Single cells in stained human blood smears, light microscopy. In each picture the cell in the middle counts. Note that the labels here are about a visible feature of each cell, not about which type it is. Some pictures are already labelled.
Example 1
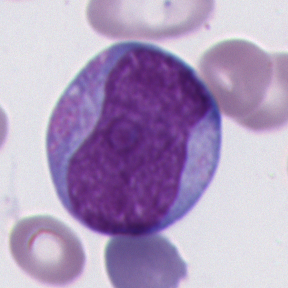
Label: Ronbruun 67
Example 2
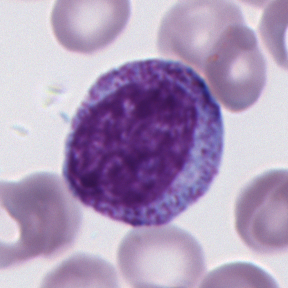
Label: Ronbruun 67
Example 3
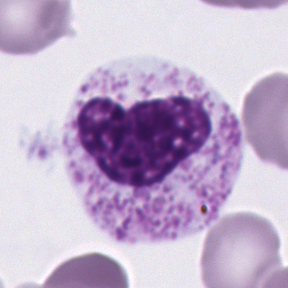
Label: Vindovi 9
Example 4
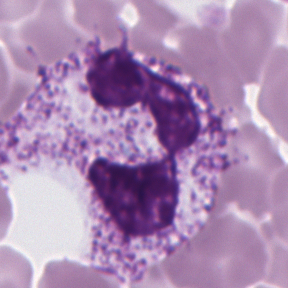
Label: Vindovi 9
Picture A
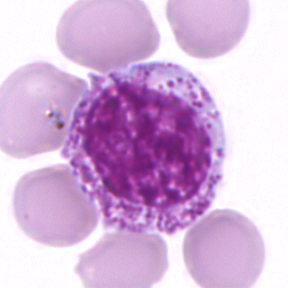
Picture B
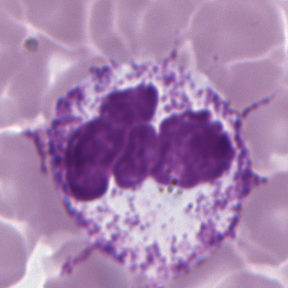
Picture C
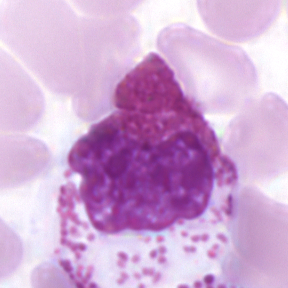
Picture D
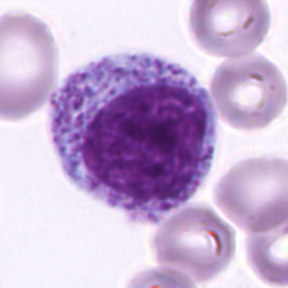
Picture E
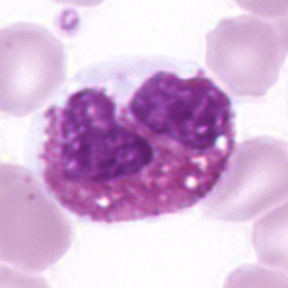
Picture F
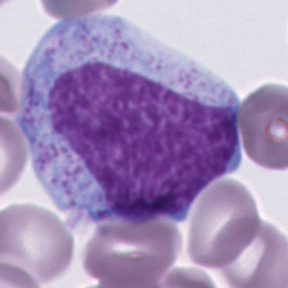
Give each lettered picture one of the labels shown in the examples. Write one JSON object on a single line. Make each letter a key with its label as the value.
{"A": "Vindovi 9", "B": "Vindovi 9", "C": "Ronbruun 67", "D": "Vindovi 9", "E": "Vindovi 9", "F": "Ronbruun 67"}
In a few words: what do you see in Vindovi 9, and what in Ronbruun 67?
In Vindovi 9: coarse or large granules. In Ronbruun 67: fine or small granules.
